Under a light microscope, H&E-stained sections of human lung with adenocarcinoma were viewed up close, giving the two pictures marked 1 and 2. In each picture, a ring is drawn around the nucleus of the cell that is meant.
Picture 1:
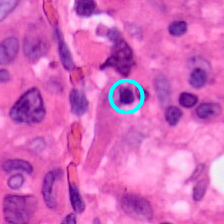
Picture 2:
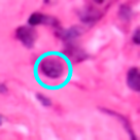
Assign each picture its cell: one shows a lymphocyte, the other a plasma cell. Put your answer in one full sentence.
It is picture 1 that shows a lymphocyte, and picture 2 that shows a plasma cell.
